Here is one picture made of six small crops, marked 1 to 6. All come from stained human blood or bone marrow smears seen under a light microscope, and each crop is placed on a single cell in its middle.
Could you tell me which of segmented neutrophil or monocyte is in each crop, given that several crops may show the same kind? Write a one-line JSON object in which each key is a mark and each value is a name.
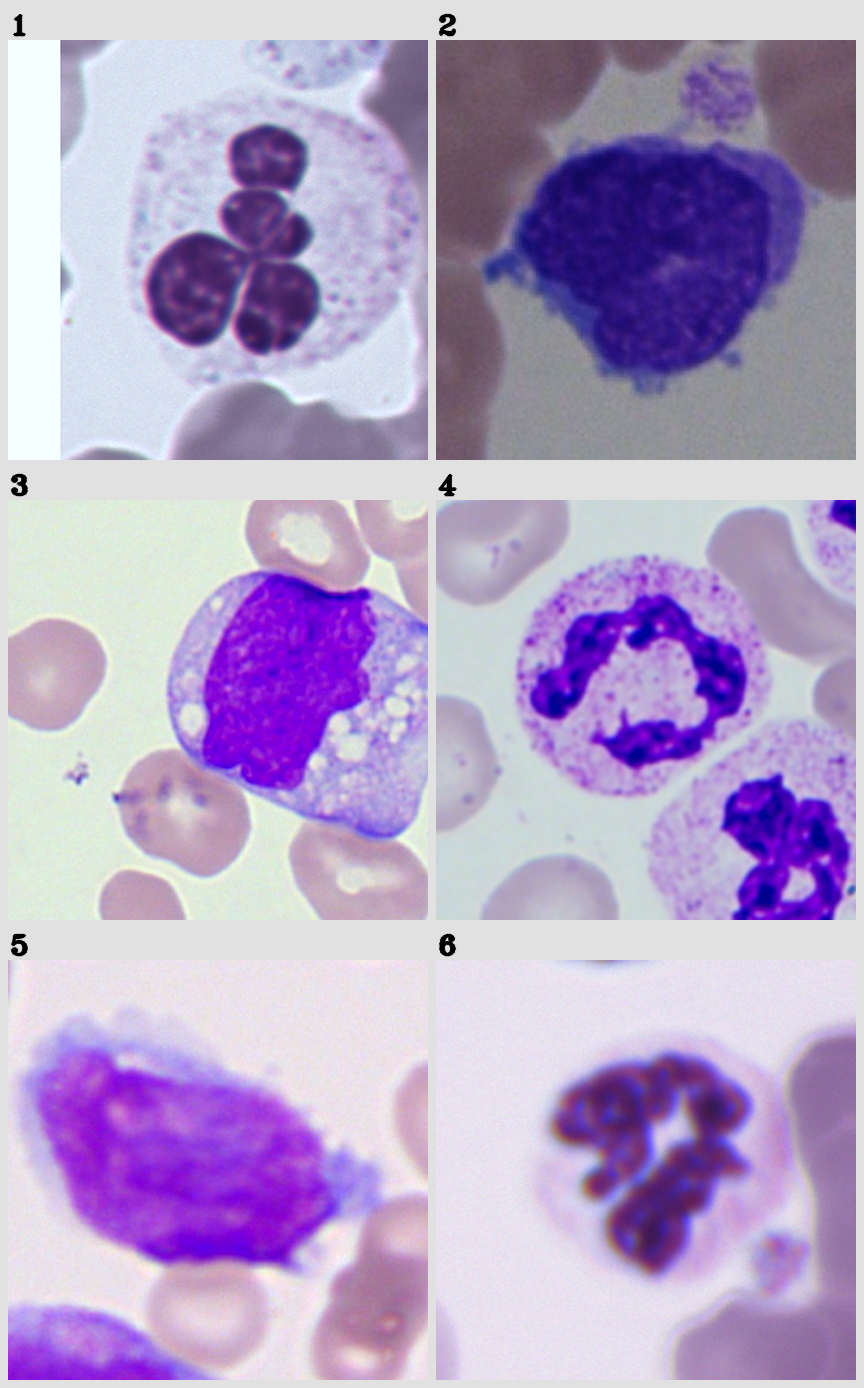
{"1": "segmented neutrophil", "2": "monocyte", "3": "monocyte", "4": "segmented neutrophil", "5": "monocyte", "6": "segmented neutrophil"}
